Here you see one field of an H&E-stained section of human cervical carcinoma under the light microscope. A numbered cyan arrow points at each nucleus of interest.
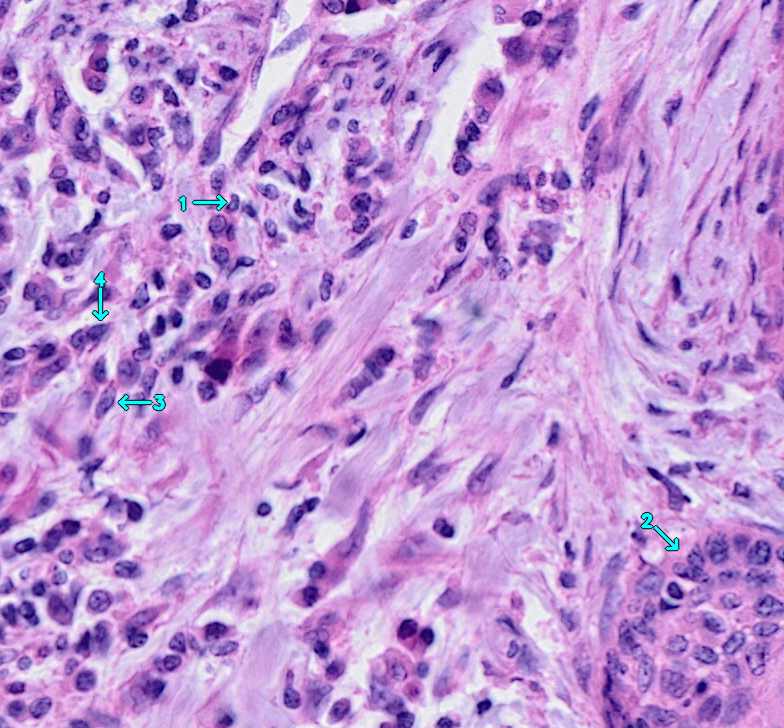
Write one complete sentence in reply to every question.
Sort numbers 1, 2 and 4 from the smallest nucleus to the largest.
From smallest to largest, the order is 1, 4, 2.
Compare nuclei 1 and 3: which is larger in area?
Nucleus 3 is larger, with an area about 2 times that of nucleus 1.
